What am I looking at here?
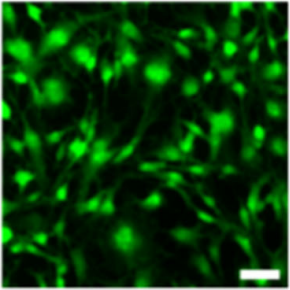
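The cells are spindle-shaped or star-shaped, with rounded, brightly glowing cell bodies and long, thin processes. The processes extend in many directions and cross one another, so the cells form an interlacing network across the whole field. The cell bodies are the brightest parts, while the processes glow more faintly.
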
